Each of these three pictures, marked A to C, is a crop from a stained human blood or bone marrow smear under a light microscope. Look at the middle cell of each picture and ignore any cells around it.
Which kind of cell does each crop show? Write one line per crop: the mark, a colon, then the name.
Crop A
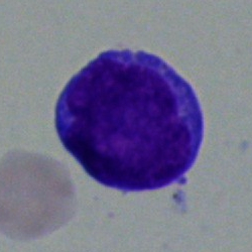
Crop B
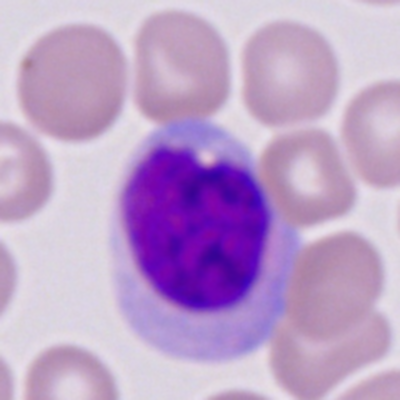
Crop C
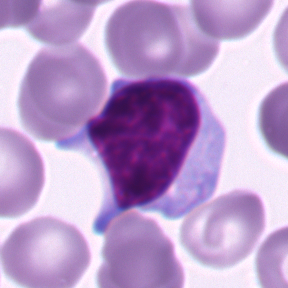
A: blast
B: monocyte
C: lymphocyte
